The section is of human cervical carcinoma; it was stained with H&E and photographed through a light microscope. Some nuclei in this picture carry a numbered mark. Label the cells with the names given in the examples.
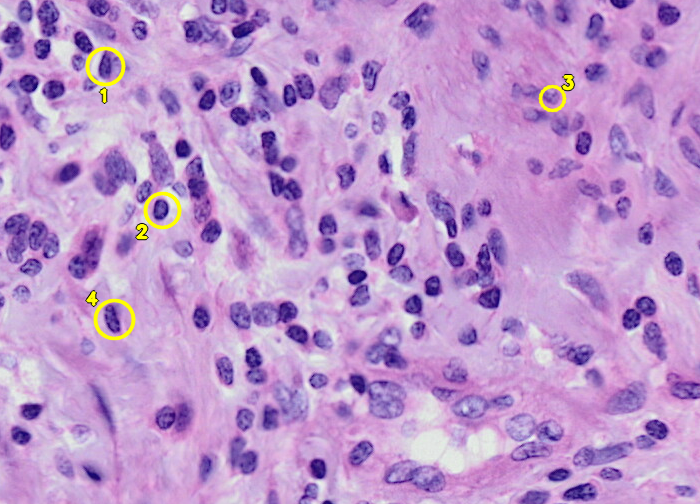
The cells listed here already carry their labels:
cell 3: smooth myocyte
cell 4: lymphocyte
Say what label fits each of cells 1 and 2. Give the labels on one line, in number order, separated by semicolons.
lymphocyte; lymphocyte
